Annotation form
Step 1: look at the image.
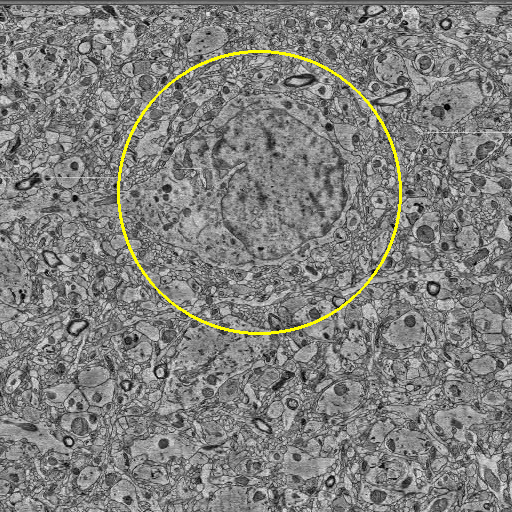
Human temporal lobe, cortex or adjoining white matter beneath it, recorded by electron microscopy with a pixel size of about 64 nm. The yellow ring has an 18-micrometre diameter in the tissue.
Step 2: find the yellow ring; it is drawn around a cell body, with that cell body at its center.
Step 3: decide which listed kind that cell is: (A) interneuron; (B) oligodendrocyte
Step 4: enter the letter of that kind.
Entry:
A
